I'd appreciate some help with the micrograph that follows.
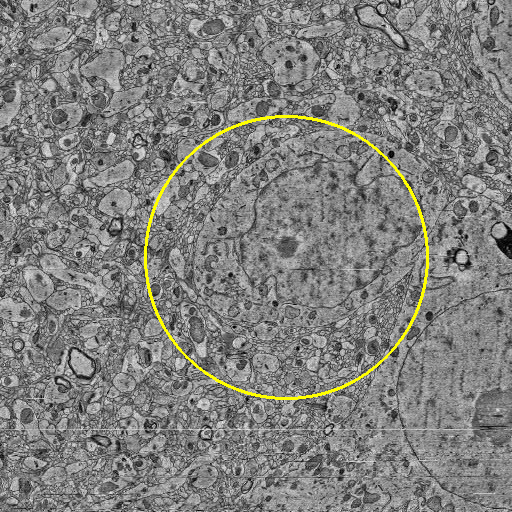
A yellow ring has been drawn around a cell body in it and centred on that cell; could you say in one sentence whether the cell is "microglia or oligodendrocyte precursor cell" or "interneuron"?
It is an interneuron at the centre of the ring.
